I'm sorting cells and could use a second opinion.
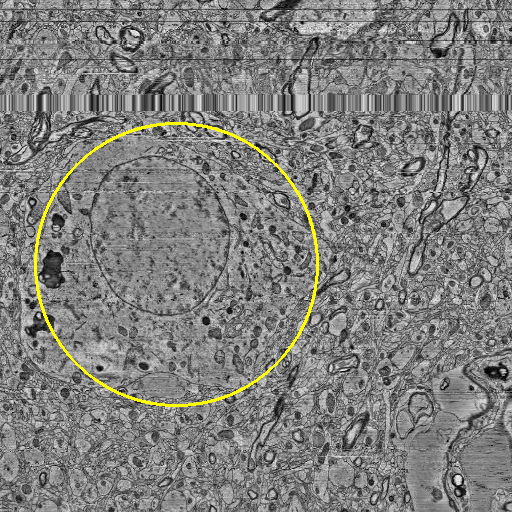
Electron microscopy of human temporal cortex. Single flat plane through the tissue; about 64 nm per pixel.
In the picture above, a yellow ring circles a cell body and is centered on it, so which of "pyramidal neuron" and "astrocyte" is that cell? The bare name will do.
pyramidal neuron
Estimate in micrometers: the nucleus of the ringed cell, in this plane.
In this plane, approximately 11 by 9 micrometers.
